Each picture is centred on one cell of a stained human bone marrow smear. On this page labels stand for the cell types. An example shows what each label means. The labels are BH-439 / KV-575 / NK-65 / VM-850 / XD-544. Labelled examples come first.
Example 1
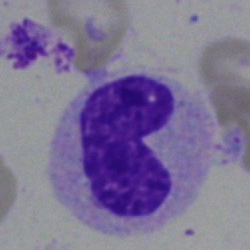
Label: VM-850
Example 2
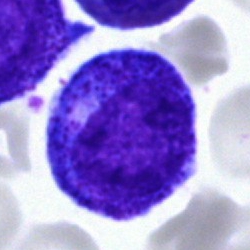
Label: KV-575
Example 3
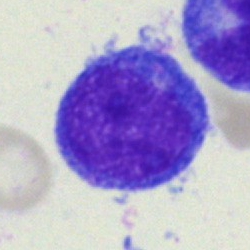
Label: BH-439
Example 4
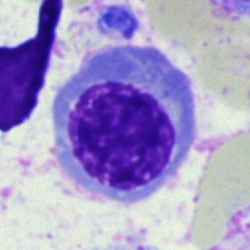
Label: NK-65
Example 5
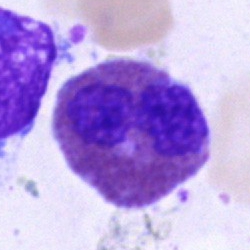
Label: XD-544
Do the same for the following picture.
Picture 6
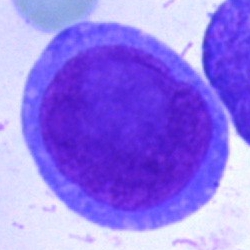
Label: BH-439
